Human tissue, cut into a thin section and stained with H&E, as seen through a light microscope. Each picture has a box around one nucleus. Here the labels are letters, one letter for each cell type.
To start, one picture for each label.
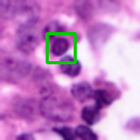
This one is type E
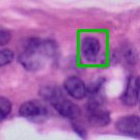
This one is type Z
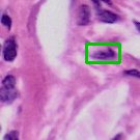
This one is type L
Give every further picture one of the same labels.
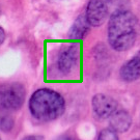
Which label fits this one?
type E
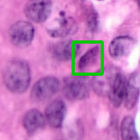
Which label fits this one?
type E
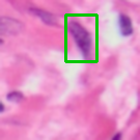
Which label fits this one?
type L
